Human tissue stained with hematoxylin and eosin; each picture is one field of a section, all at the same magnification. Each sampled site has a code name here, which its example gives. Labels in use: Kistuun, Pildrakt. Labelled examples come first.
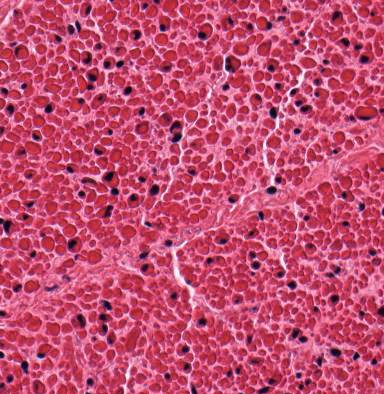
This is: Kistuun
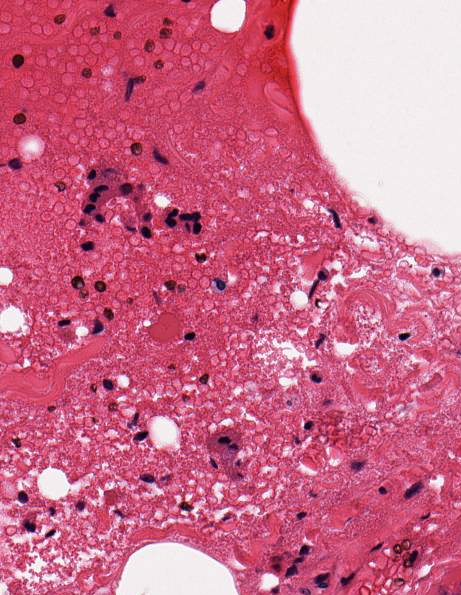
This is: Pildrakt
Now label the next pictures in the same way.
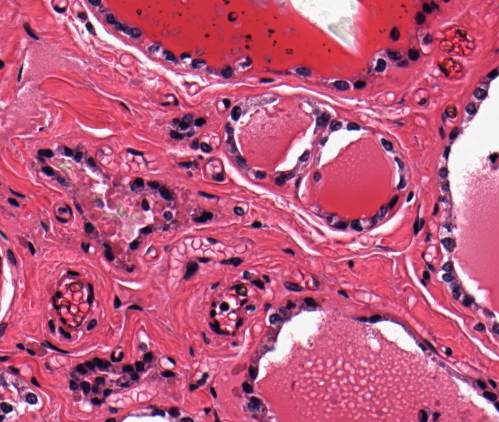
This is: Pildrakt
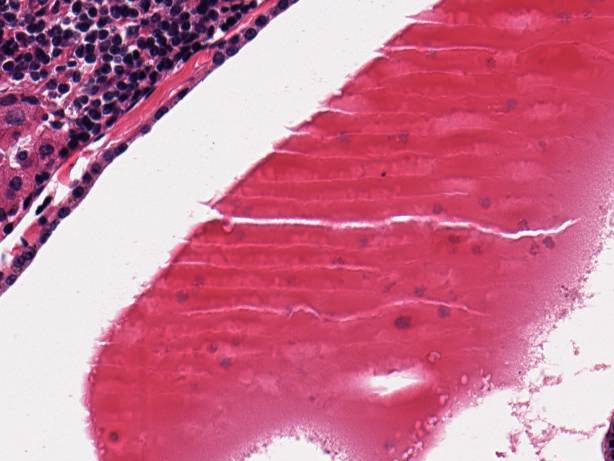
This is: Pildrakt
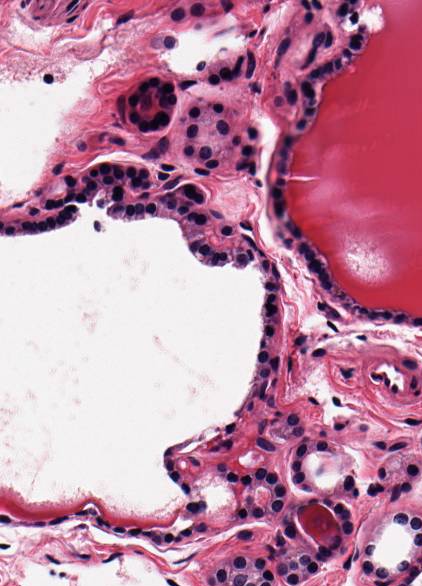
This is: Pildrakt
